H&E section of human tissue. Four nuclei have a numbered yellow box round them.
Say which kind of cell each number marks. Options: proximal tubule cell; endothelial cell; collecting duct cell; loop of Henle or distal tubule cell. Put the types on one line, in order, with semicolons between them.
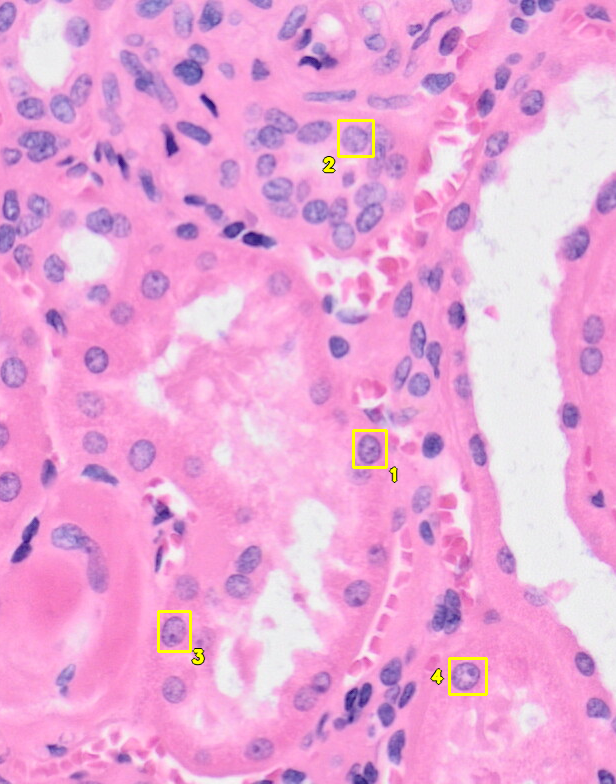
proximal tubule cell; collecting duct cell; proximal tubule cell; proximal tubule cell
